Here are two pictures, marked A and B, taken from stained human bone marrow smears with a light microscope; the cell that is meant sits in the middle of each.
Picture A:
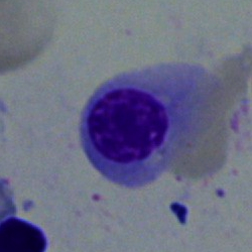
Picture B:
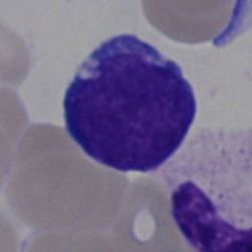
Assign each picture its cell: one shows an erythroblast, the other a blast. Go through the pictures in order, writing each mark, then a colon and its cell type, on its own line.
A: erythroblast
B: blast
